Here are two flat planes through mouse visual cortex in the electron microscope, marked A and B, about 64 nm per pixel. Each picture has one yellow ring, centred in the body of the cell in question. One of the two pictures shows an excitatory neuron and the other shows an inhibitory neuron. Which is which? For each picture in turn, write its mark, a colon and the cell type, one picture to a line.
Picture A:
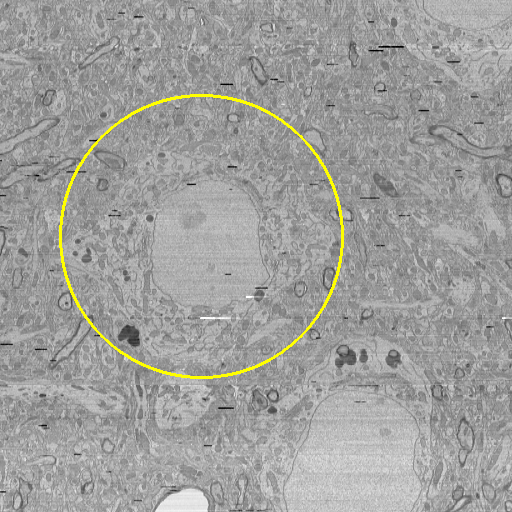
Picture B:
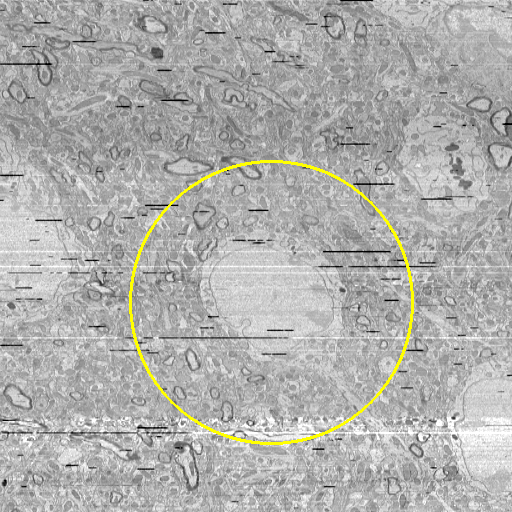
A: inhibitory neuron
B: excitatory neuron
